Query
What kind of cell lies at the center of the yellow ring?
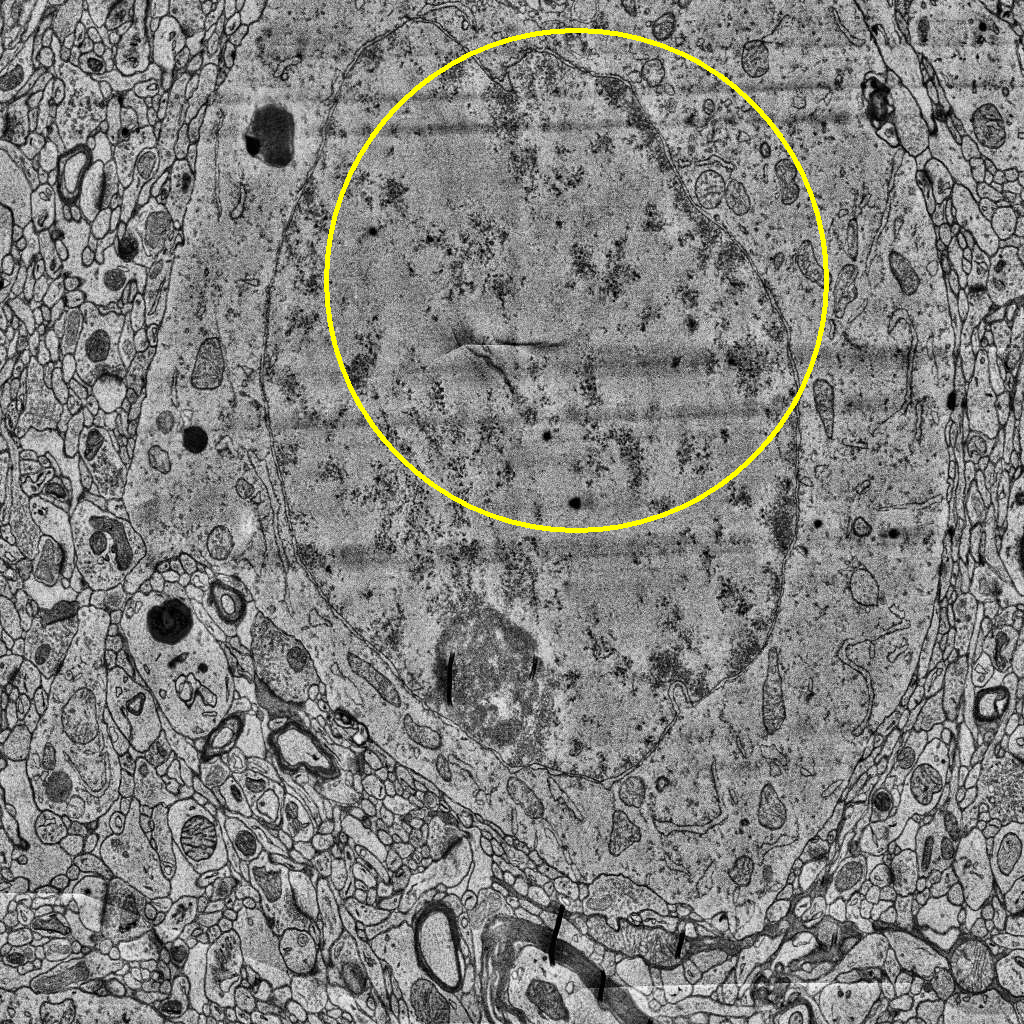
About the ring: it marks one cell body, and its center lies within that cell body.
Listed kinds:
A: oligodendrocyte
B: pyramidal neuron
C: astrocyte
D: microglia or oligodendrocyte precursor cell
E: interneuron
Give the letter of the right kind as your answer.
E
